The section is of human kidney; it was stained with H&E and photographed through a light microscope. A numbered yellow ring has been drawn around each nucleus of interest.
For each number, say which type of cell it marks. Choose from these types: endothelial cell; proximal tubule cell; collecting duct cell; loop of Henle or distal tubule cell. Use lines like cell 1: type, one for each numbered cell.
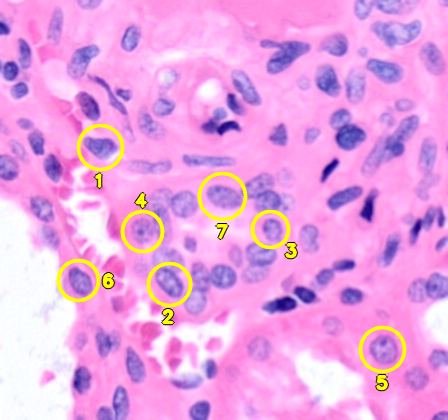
cell 1: endothelial cell
cell 2: collecting duct cell
cell 3: collecting duct cell
cell 4: collecting duct cell
cell 5: proximal tubule cell
cell 6: loop of Henle or distal tubule cell
cell 7: collecting duct cell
